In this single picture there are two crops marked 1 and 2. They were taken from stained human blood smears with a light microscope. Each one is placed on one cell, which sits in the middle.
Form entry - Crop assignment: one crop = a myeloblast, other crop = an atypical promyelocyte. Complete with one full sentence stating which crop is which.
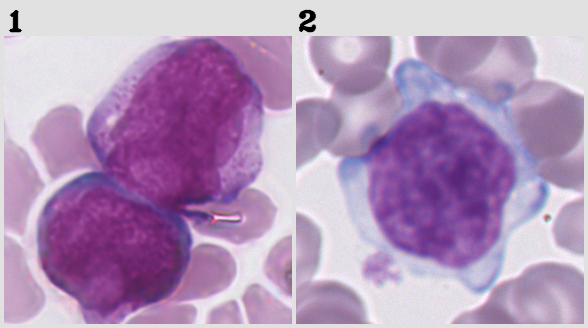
At the centre of crop 1 lies an atypical promyelocyte, and at the centre of crop 2 lies a myeloblast.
